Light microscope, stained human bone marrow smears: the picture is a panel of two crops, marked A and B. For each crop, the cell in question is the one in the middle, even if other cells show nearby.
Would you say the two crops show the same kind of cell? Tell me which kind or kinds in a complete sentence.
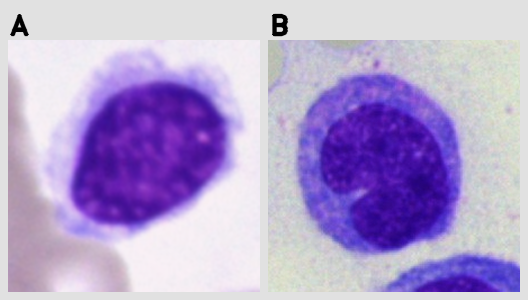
No, crop A contains a hairy cell, and crop B contains a monocyte.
